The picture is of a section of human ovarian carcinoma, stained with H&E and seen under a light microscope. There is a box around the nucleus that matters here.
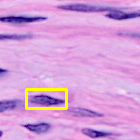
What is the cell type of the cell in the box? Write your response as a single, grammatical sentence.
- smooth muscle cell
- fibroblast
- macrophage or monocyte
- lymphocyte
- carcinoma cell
For the purposes of cell typing, the cell in the box is categorized as a smooth muscle cell.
